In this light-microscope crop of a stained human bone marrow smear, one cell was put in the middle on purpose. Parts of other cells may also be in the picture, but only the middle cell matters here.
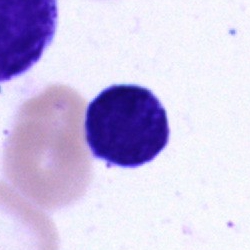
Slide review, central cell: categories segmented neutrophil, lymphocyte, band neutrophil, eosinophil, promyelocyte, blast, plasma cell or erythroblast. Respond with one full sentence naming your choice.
The central cell shown in this smear crop is a lymphocyte.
